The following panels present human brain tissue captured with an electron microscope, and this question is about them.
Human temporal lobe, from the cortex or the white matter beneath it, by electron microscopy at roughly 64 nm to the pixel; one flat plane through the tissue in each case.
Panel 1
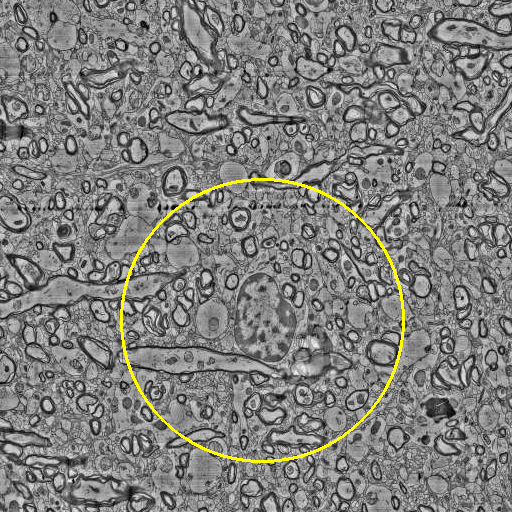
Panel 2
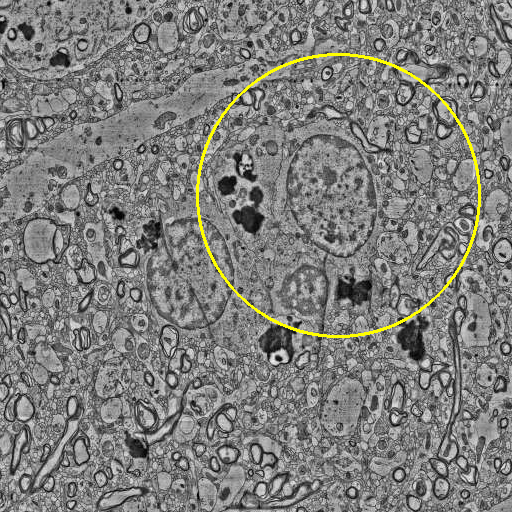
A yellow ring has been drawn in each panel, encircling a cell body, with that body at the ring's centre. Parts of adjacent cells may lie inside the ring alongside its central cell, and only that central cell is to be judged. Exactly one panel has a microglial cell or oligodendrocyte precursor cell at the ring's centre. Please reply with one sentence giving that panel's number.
The ring whose central cell fits the description is the one in panel 1.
